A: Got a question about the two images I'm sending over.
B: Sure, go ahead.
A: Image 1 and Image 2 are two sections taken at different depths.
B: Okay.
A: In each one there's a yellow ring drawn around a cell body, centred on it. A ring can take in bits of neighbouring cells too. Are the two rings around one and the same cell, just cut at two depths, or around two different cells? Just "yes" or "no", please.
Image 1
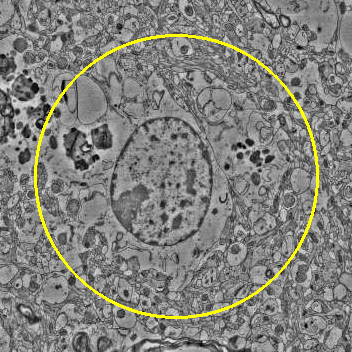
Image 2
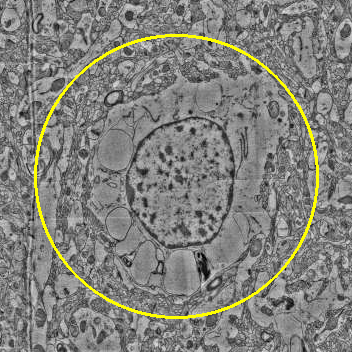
no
